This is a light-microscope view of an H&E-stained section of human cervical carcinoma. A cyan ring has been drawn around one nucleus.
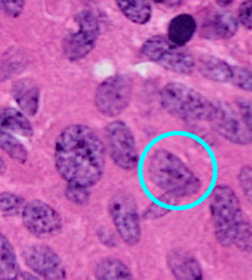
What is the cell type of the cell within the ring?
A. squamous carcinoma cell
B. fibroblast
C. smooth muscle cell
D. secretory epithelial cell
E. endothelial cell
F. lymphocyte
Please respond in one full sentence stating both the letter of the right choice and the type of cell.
Right answer, option A: the cell within the ring is a squamous carcinoma cell.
